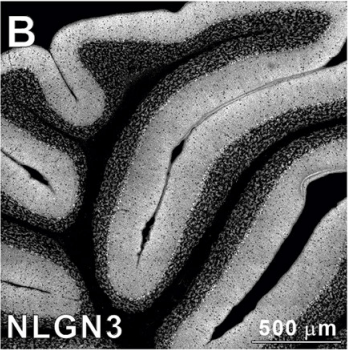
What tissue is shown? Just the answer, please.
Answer: Cerebellum.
